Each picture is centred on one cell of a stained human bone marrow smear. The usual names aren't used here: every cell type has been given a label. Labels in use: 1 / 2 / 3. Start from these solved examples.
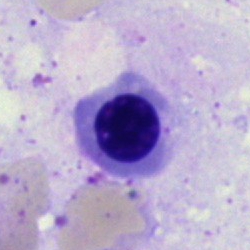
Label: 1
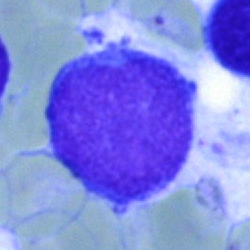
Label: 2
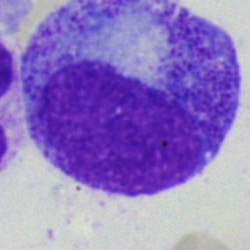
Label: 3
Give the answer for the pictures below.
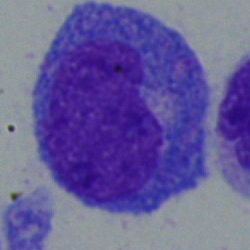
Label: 3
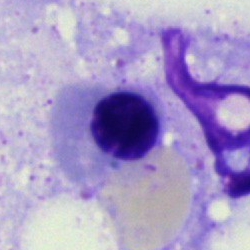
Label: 1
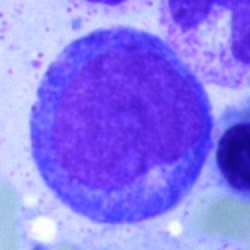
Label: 3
